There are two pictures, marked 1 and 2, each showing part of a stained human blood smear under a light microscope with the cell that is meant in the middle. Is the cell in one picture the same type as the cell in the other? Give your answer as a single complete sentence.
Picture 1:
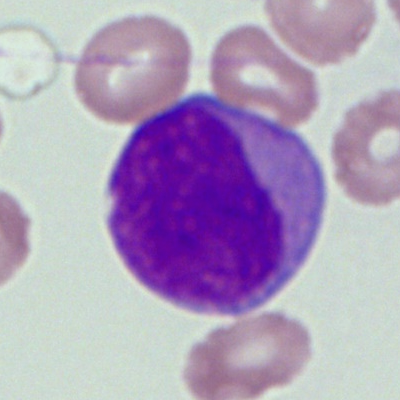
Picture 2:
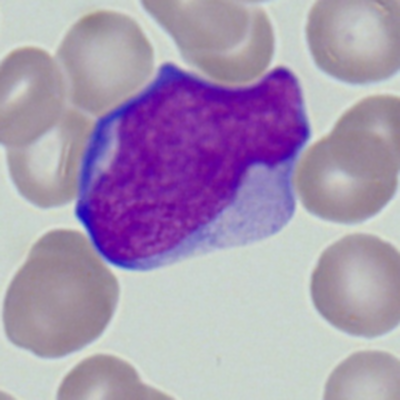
Yes, they are the same type: both are myeloblasts.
